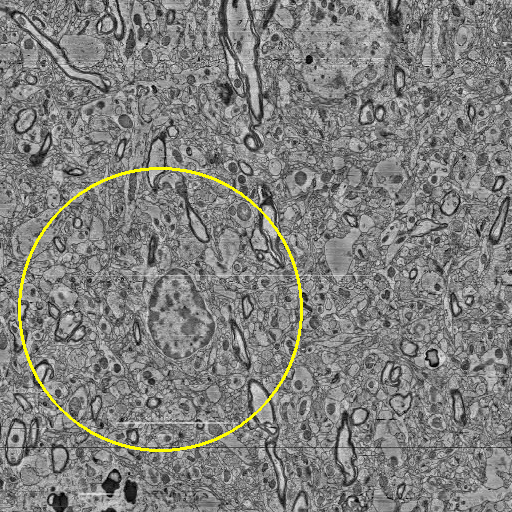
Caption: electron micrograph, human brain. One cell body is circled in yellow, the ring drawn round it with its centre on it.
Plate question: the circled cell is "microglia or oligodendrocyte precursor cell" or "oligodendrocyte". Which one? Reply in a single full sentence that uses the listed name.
The yellow ring on the plate is centred on a microglial cell or oligodendrocyte precursor cell, going by the listed names.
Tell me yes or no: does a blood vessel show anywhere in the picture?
No, the picture includes no blood vessel.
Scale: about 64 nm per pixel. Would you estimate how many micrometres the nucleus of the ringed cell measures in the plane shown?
Approximately 6 x 4 micrometres in this plane.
